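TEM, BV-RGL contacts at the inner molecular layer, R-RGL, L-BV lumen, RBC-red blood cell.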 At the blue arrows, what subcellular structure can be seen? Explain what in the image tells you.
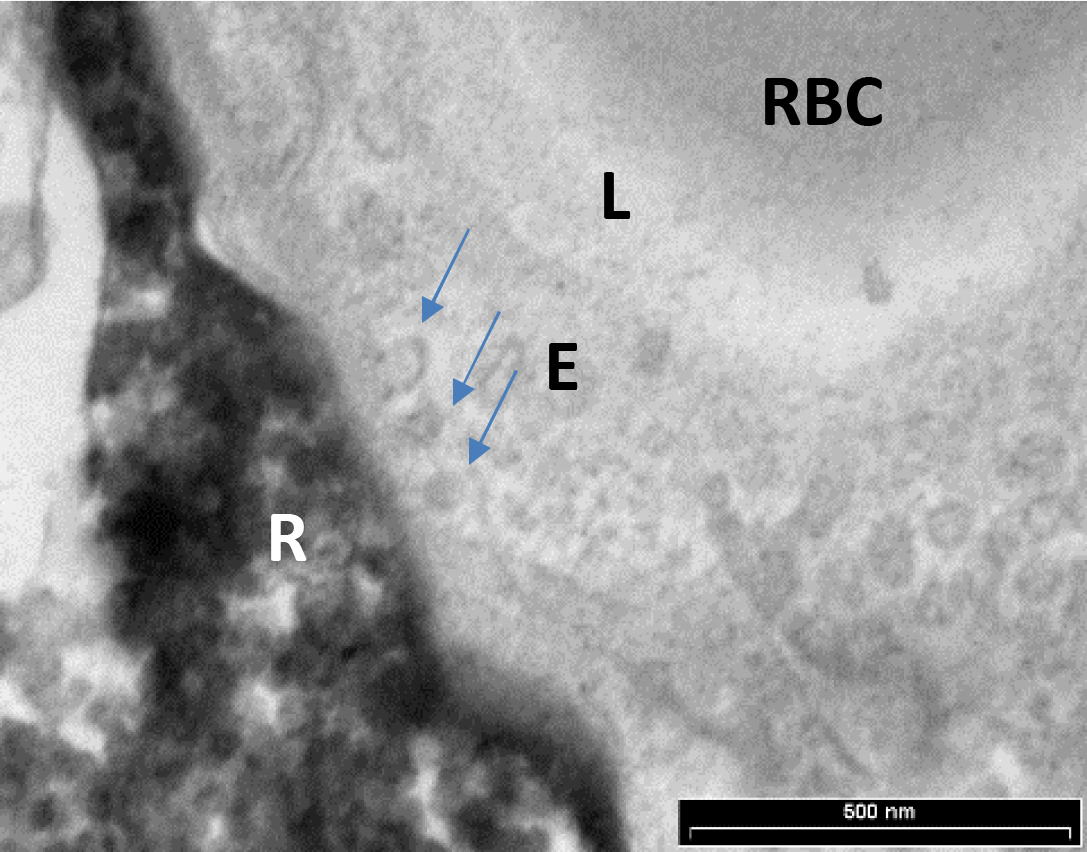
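Small round profiles lie in the thin cytoplasm between the lumen and the dark process labelled R. The arrowed profiles are near the border with the dark process.
Hence: endothelial vesicles.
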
